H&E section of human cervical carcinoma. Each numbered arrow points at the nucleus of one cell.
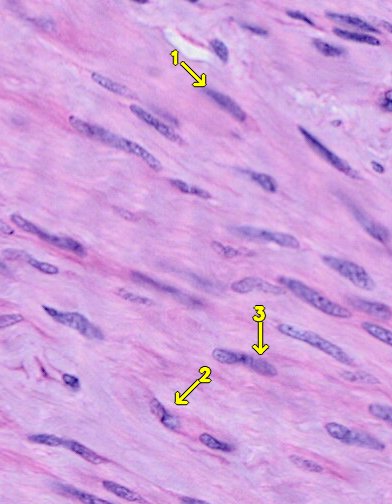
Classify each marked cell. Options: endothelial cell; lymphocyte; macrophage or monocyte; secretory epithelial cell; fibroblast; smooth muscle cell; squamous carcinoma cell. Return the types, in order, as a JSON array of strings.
["fibroblast", "smooth muscle cell", "smooth muscle cell"]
